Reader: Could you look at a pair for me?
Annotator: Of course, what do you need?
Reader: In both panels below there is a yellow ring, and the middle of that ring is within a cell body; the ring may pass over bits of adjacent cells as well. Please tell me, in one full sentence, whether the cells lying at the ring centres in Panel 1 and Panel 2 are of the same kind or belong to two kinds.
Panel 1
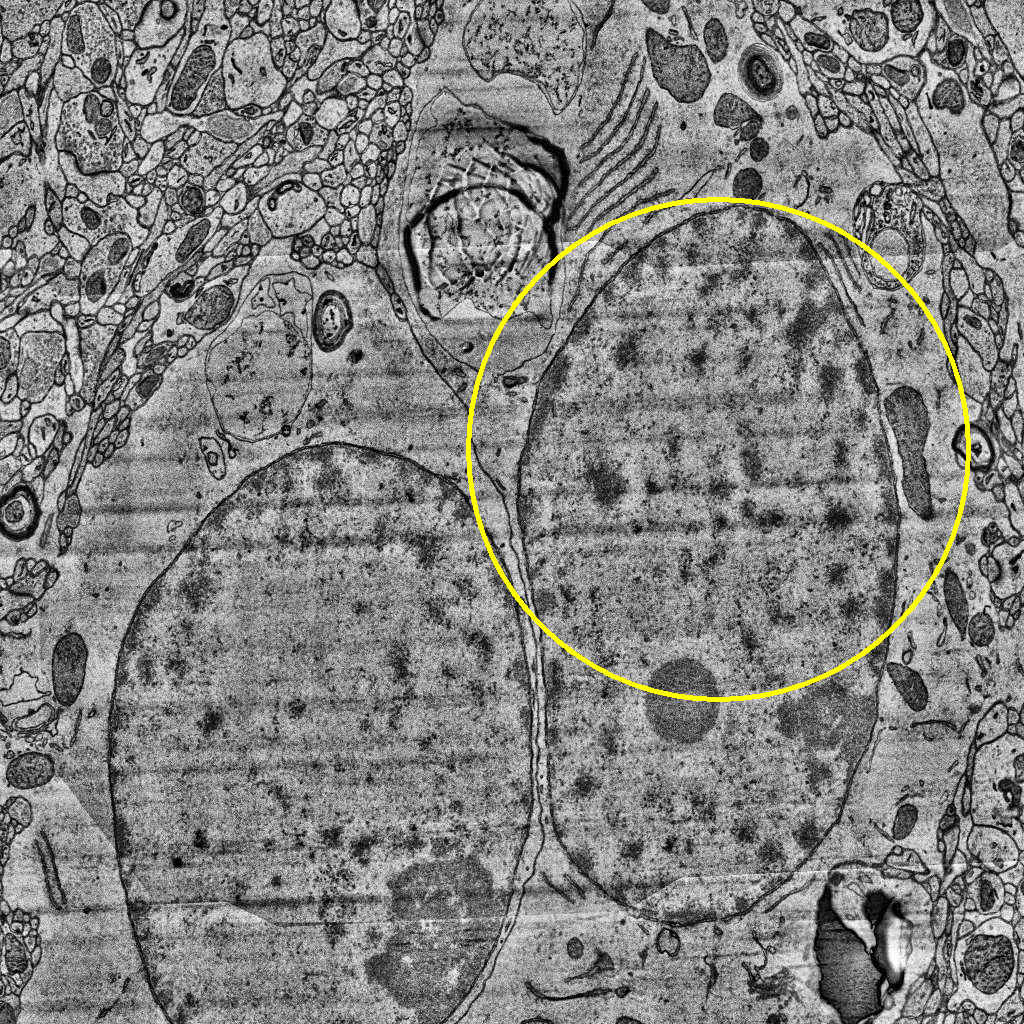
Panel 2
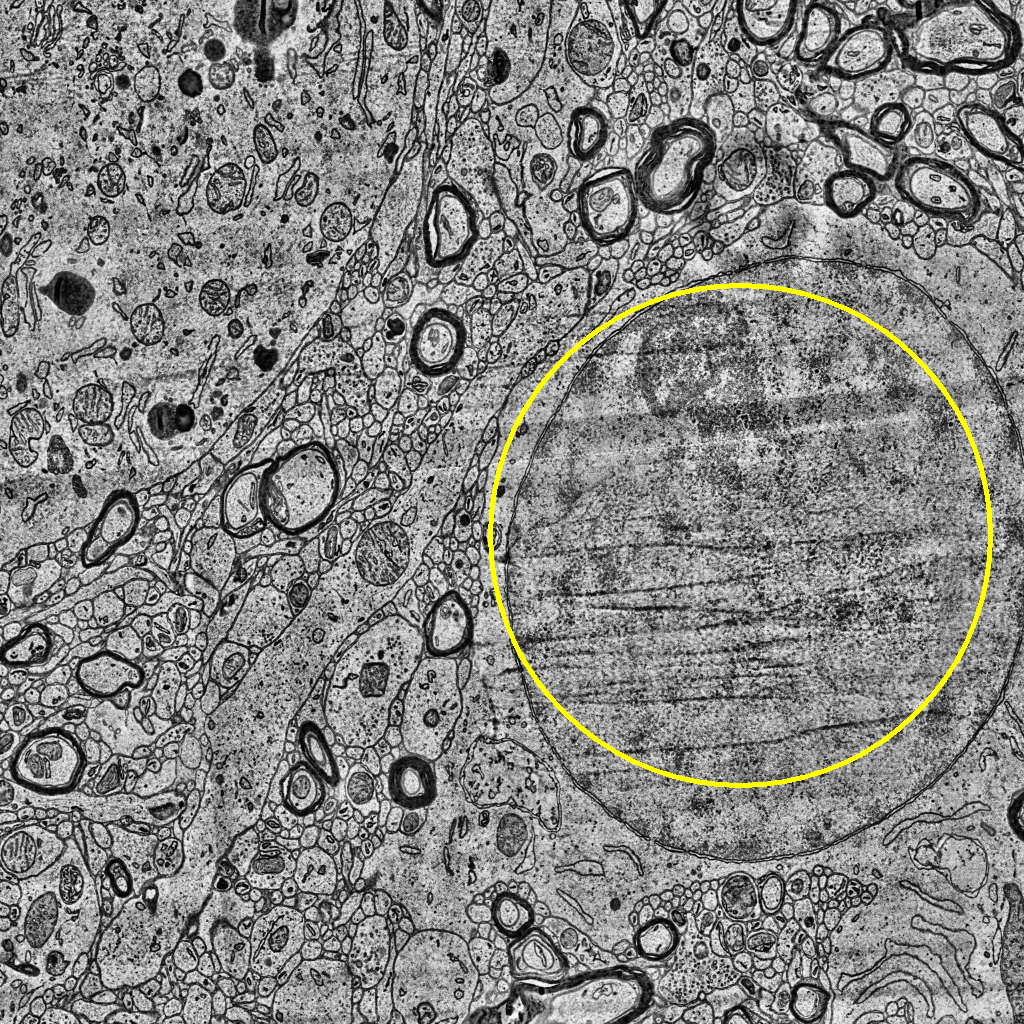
The cell at the ring's centre in Panel 1 and the one in Panel 2 are of the same kind.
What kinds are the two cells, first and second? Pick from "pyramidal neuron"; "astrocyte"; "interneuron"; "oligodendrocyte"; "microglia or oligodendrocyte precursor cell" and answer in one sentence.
The cell in the first picture is an astrocyte, and so is the one in the second.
